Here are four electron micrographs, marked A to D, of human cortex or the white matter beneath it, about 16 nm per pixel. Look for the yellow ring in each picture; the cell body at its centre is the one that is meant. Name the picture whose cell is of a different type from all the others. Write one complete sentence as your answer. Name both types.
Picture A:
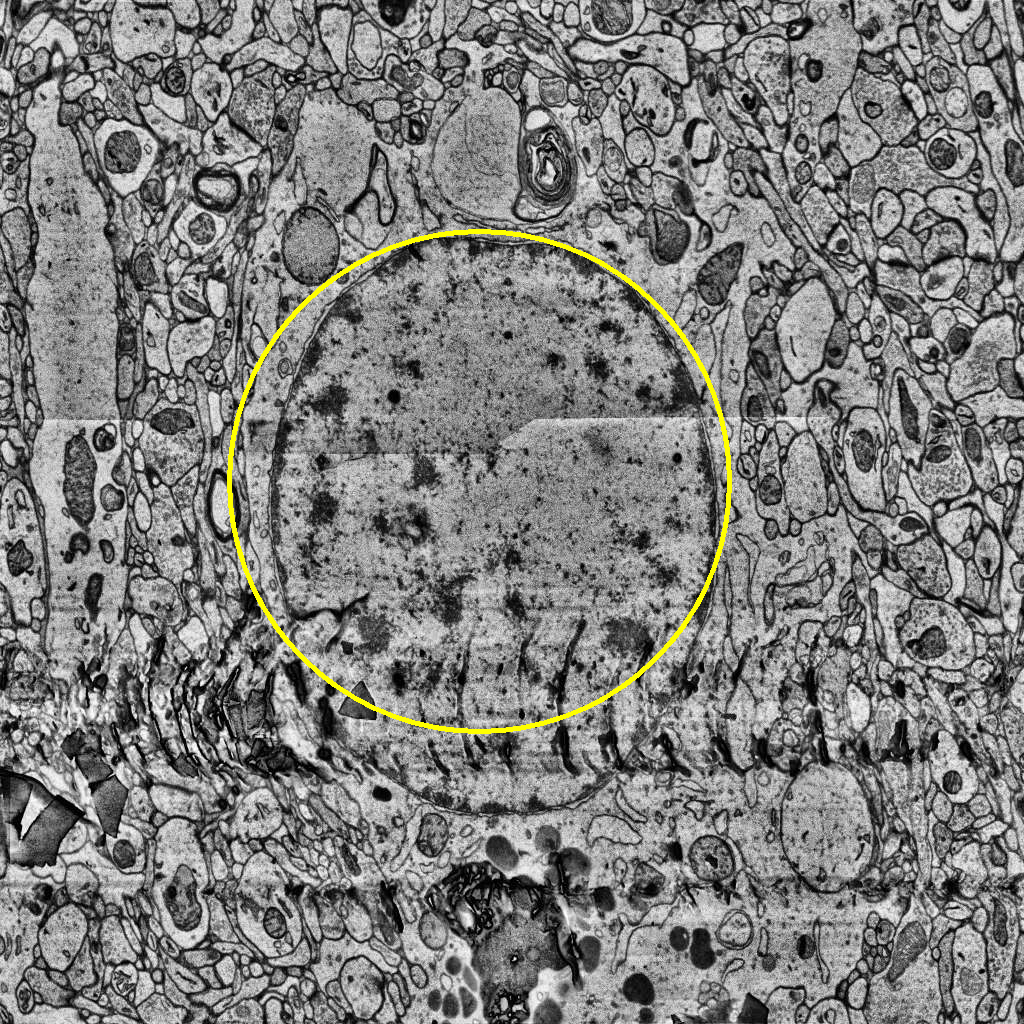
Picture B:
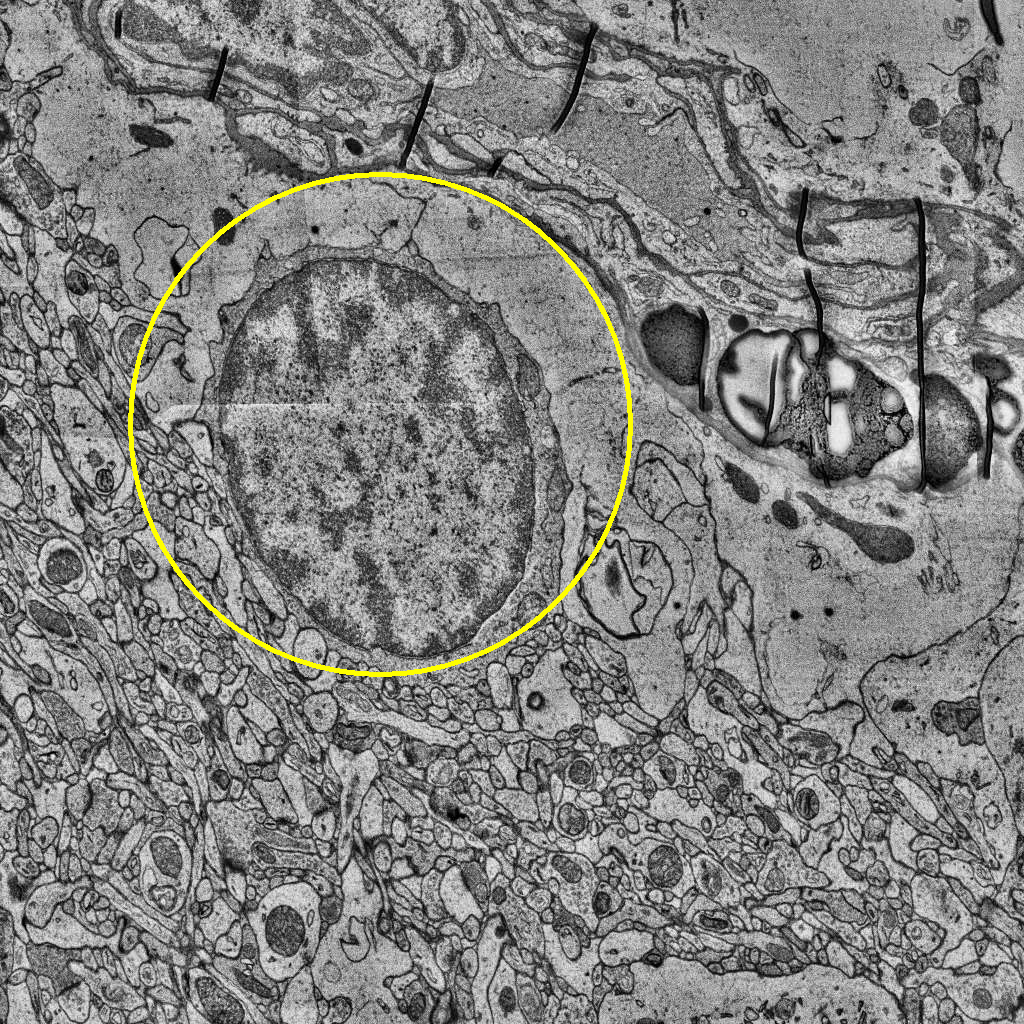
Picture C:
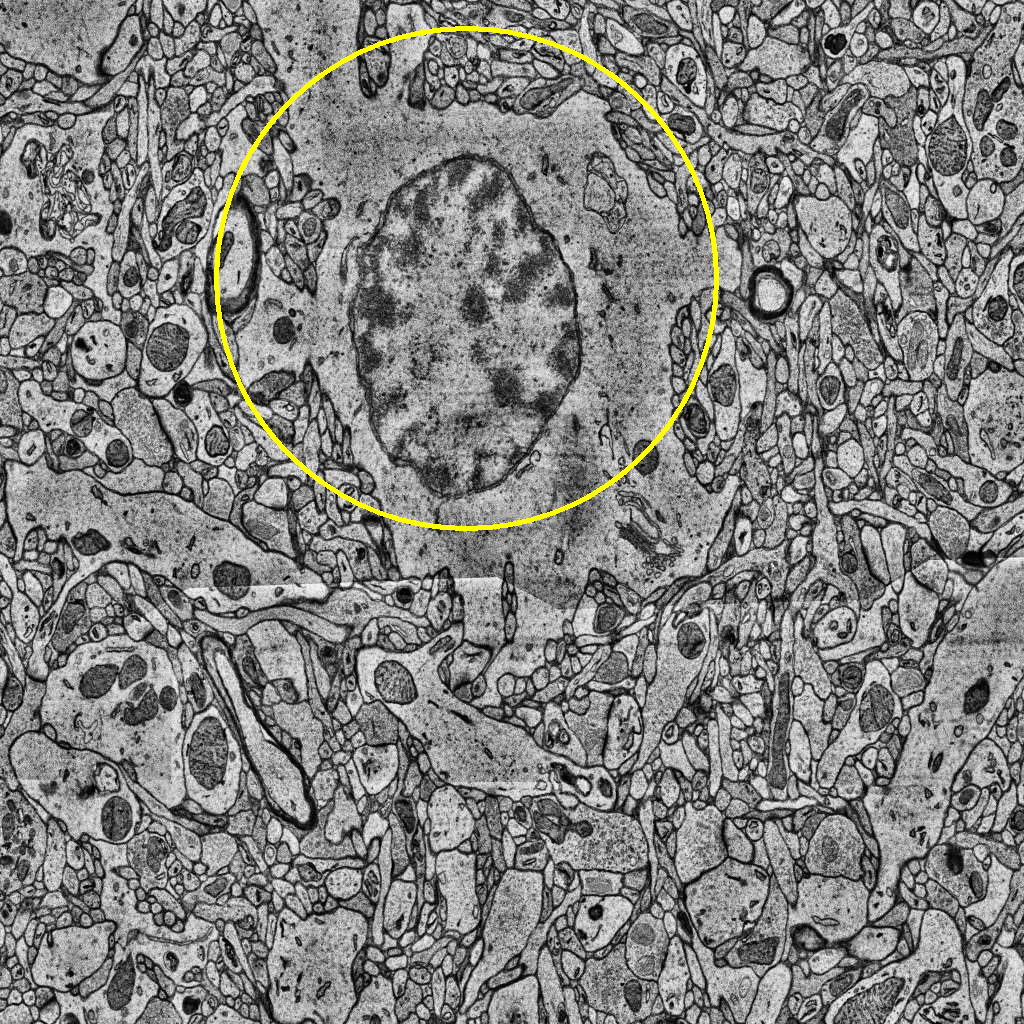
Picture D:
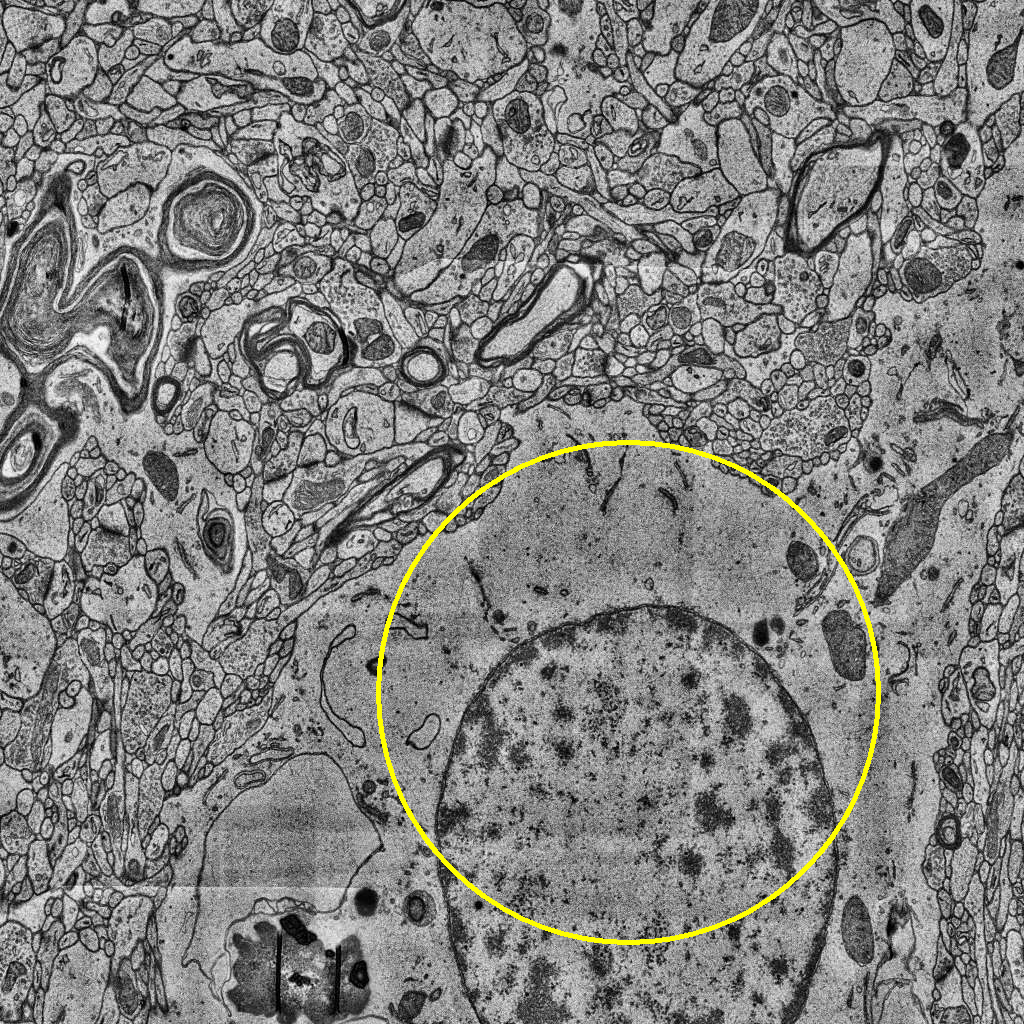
All pictures except B show astrocytes; picture B shows an oligodendrocyte.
